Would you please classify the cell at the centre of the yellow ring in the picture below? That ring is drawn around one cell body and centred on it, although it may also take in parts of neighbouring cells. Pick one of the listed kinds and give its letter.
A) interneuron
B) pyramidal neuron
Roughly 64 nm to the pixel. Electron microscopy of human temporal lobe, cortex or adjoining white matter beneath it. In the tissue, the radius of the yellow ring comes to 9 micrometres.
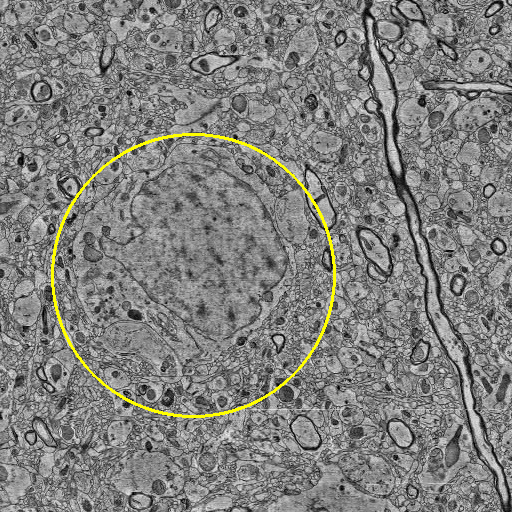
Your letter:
A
